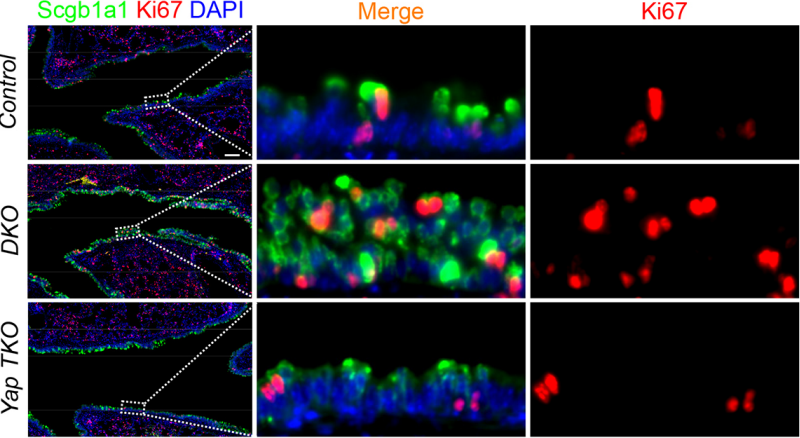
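Here is airway lining shown as overviews and enlarged stretches in three rows. In one row the lining is thick and disordered, with many red nuclei scattered through it; in the other two rows the layer is thinner and only a few red nuclei appear. The overviews also show red nuclei scattered in the tissue beneath the lining.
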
